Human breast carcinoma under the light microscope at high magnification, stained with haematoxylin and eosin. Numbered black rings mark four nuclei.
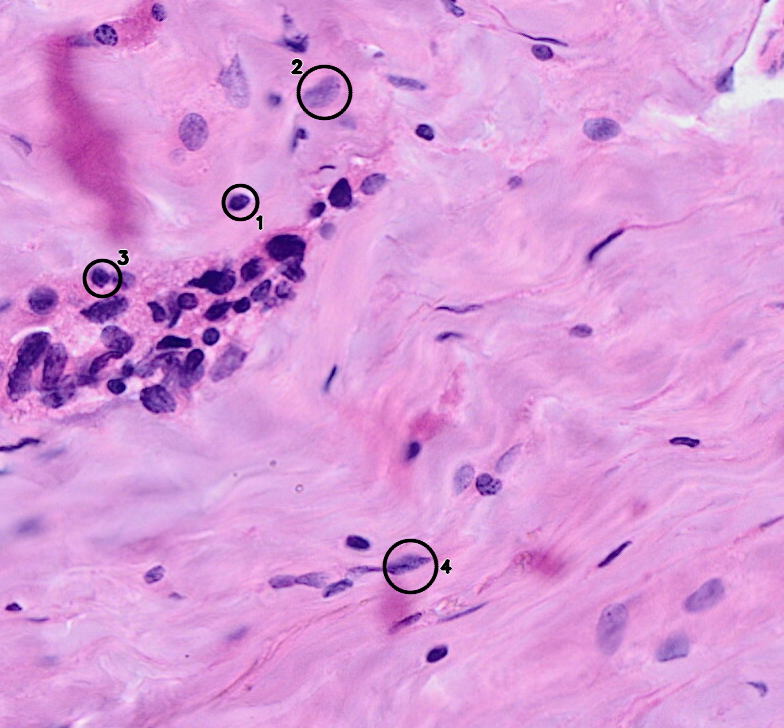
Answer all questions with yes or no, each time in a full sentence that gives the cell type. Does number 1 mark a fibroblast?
No, the cell carrying number 1 is a lymphocyte rather than a fibroblast.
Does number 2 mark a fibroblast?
Yes, the cell to which number 2 refers is a fibroblast.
